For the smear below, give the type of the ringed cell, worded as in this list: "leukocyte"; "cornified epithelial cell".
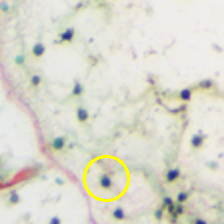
leukocyte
